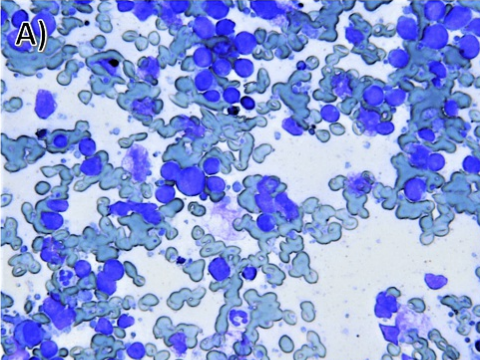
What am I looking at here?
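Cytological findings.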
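This smear shows numerous atypical lymphoid cells lying singly against a background of grey-blue material. The lymphoid cells are round, with dark blue nuclei that fill most of the cell. Their cytoplasm is scanty, seen as a thin rim at most. Larger cells with more abundant pale purple cytoplasm are scattered among them. The cells do not form cohesive groups.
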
